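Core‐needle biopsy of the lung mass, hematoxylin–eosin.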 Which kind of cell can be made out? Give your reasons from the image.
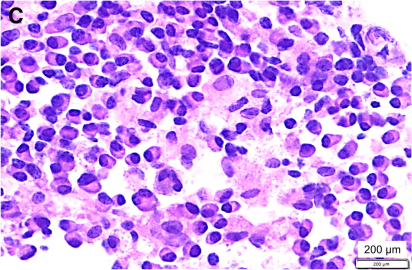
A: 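Round to oval cells with eccentrically placed round dark nuclei. Moderate amount of pink-purple cytoplasm around each nucleus. Cells lie in loose sheets without glands or other structures. So: well‐differentiated plasma cells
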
